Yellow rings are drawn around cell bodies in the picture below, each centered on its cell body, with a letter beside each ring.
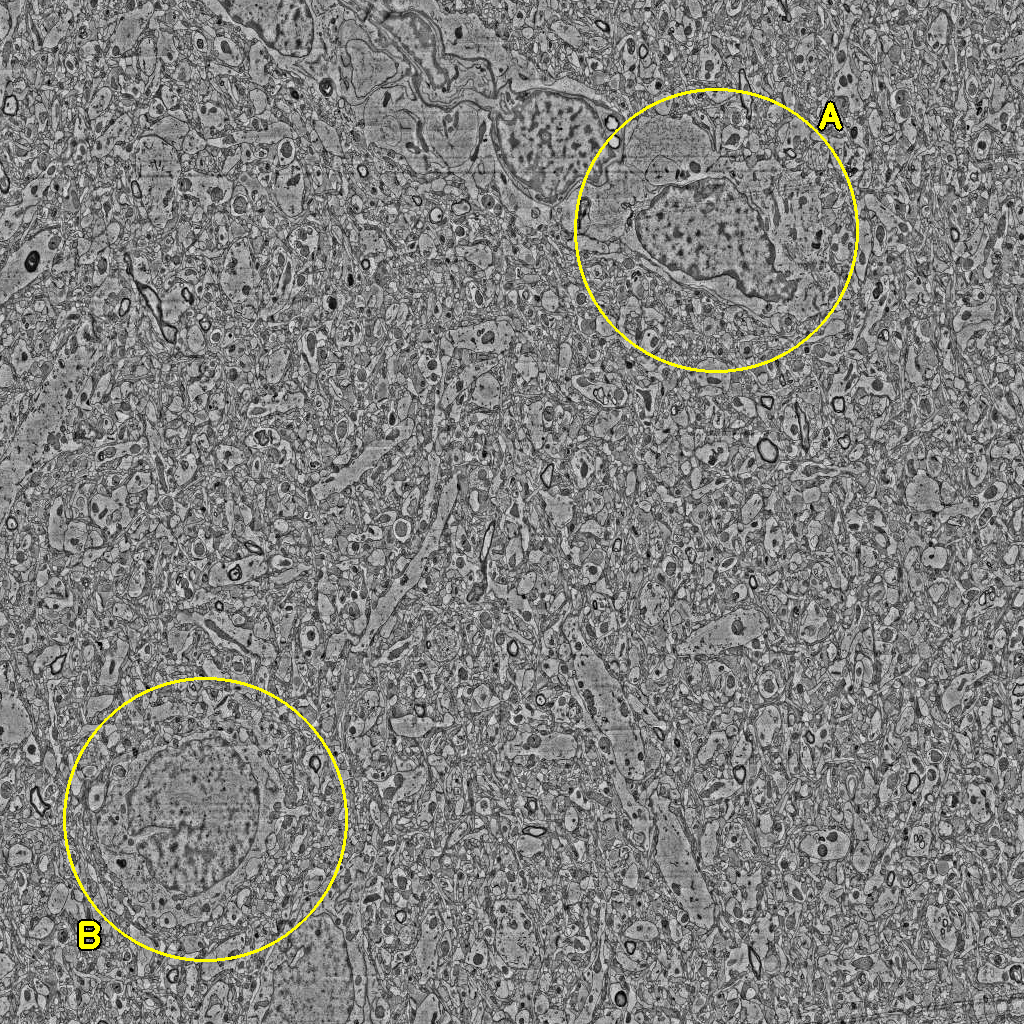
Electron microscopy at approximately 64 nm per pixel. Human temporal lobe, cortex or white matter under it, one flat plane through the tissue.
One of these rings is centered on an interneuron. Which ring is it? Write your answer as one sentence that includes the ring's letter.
It is ring B.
